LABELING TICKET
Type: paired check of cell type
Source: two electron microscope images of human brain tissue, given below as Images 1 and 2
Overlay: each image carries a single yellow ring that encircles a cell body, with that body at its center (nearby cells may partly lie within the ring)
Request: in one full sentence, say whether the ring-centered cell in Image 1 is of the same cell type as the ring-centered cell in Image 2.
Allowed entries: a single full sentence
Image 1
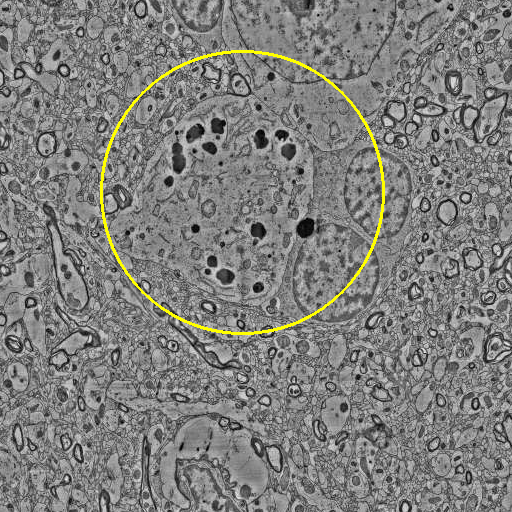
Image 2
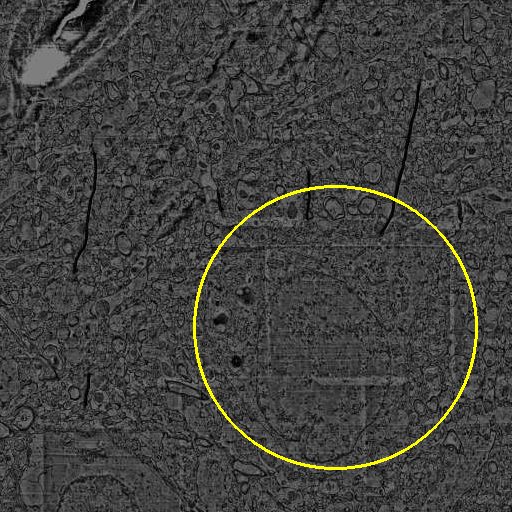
Yes, the cells centered in the rings of Image 1 and Image 2 share one type.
